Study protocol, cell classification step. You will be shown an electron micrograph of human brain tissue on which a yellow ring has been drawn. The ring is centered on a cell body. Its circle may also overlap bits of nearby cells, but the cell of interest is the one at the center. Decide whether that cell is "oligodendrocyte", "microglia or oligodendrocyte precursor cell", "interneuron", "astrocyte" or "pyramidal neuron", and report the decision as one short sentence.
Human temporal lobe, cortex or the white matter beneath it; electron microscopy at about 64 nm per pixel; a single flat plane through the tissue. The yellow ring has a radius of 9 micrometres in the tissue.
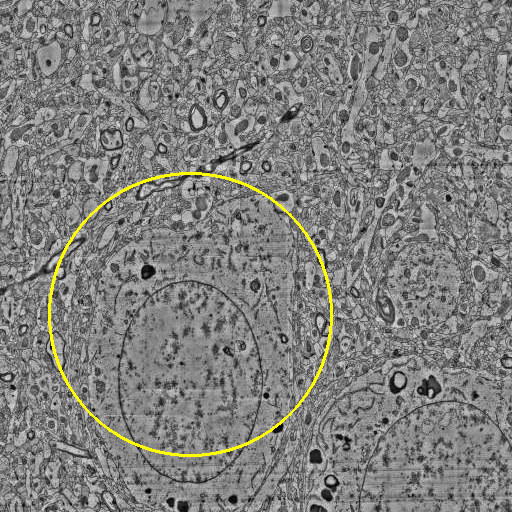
The marked cell is a pyramidal neuron.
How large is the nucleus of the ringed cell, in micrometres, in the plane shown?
The ringed cell's nucleus measures approximately 13 by 9 micrometres in this plane.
